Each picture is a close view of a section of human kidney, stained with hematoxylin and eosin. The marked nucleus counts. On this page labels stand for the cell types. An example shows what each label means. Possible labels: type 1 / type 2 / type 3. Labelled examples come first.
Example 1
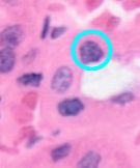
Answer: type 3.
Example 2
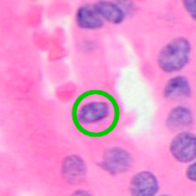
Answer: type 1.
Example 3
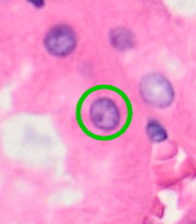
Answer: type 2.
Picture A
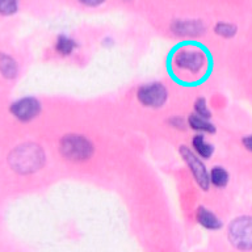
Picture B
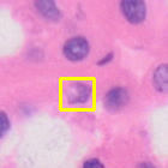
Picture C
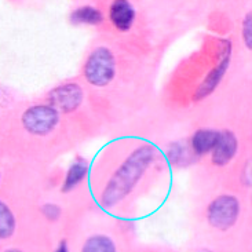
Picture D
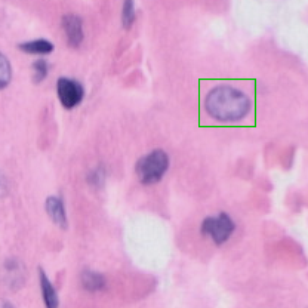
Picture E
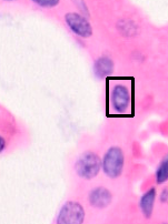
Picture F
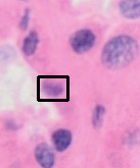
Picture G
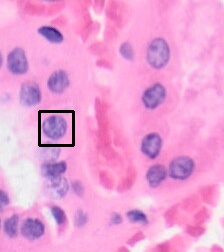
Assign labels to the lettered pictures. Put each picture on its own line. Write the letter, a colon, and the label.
A: type 3.
B: type 3.
C: type 1.
D: type 2.
E: type 1.
F: type 3.
G: type 1.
